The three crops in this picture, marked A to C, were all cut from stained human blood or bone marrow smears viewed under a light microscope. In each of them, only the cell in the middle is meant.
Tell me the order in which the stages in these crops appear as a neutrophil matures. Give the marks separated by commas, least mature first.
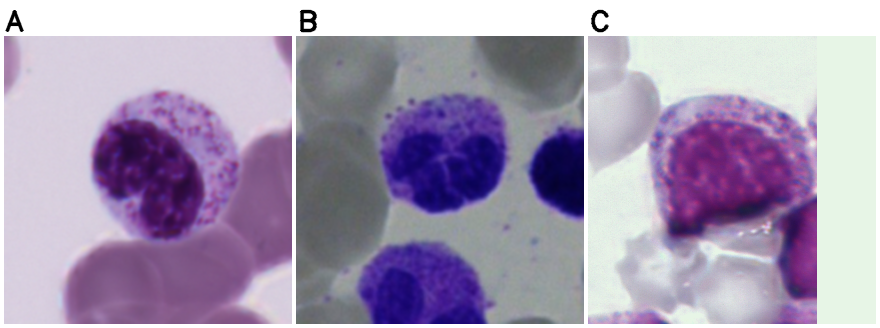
C, A, B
